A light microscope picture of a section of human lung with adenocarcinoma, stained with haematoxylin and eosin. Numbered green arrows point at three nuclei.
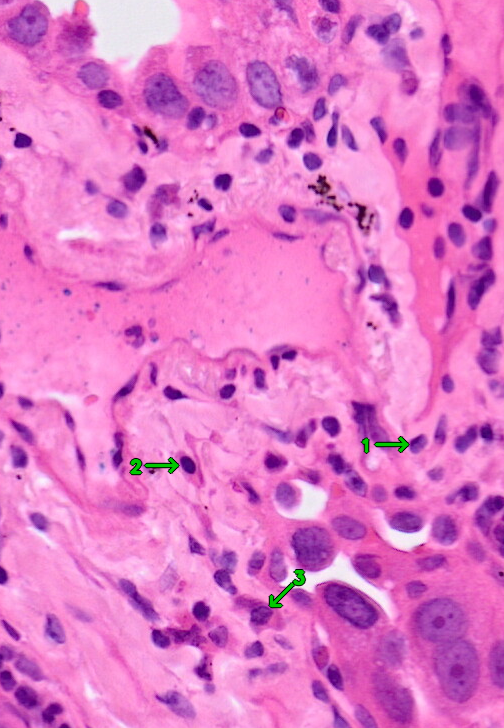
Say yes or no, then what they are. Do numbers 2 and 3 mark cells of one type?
No, in contrast to cell 2, which is a mast cell, cell 3 is a plasma cell.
